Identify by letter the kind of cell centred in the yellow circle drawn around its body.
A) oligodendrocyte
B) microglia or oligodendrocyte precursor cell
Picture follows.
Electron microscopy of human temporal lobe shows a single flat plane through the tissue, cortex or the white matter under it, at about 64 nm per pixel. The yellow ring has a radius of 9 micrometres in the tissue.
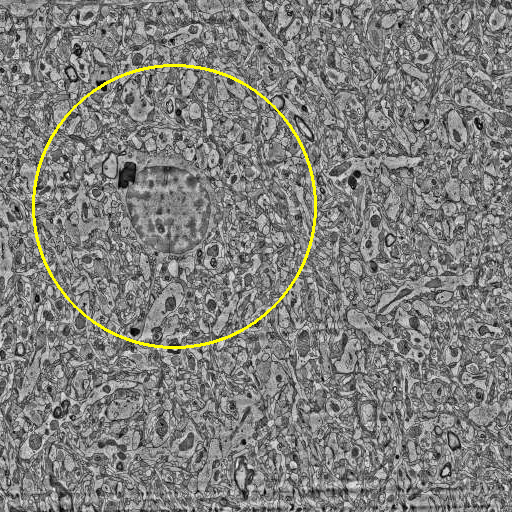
A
